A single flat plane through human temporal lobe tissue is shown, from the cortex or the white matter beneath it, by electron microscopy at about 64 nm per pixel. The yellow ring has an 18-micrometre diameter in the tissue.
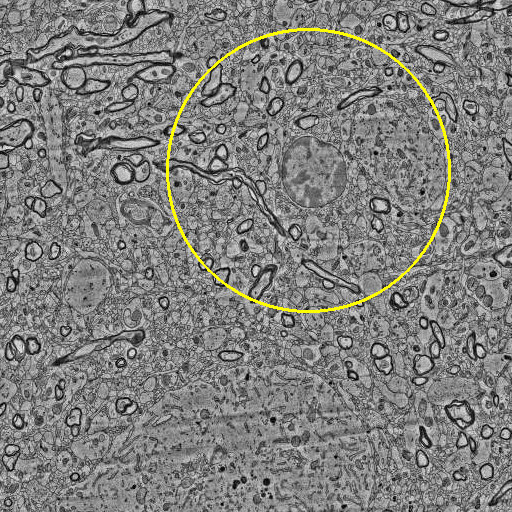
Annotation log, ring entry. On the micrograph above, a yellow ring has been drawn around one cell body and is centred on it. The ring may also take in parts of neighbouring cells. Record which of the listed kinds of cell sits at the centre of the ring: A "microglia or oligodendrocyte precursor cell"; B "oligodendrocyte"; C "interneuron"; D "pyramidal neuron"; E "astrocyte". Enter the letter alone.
A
